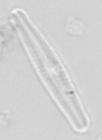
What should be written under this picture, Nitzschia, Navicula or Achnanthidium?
Achnanthidium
